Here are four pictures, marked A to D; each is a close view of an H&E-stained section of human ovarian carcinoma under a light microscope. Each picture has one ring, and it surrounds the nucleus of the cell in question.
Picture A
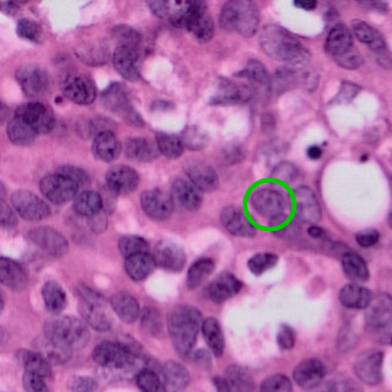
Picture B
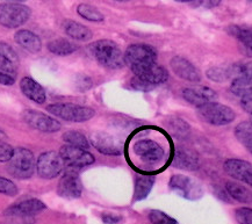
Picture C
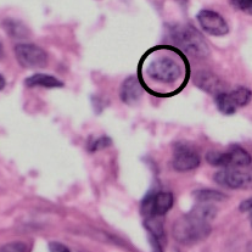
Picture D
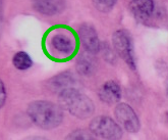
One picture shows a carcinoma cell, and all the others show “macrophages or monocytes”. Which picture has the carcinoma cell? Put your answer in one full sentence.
The carcinoma cell is the one in picture A.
